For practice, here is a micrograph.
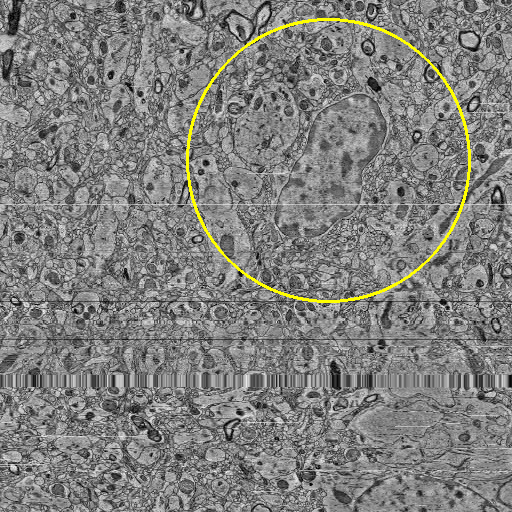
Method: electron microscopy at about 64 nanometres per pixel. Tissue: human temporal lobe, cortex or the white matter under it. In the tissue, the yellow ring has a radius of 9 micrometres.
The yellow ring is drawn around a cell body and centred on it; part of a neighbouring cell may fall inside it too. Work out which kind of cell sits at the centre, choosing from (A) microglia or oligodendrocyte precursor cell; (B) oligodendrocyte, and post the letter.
A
